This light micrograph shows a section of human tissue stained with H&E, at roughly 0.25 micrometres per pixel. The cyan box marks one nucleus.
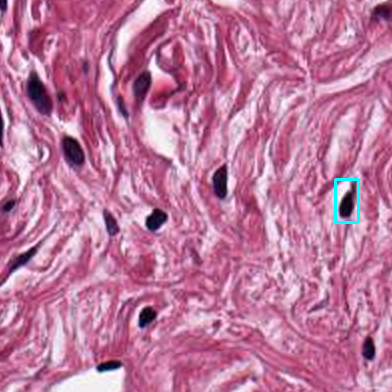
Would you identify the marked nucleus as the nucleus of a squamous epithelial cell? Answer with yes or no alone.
no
